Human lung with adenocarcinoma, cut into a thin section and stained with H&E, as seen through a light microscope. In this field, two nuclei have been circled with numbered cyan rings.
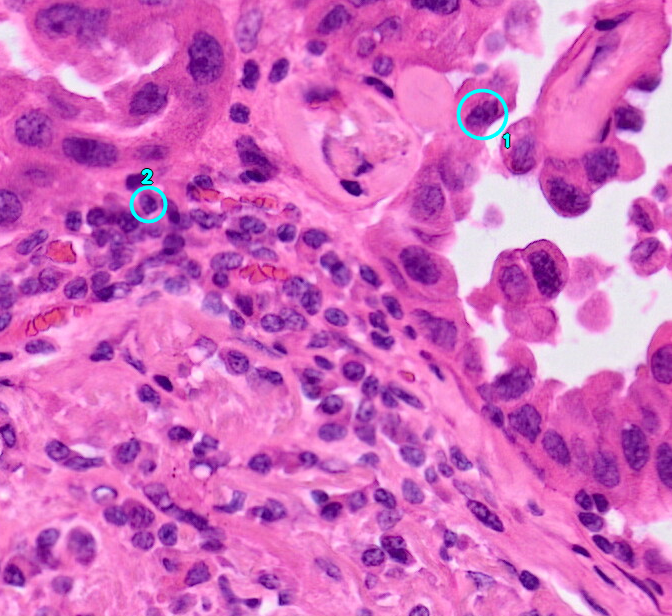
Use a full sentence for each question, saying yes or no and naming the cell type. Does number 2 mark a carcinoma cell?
No, with respect, cell 2 is a lymphocyte rather than a carcinoma cell.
